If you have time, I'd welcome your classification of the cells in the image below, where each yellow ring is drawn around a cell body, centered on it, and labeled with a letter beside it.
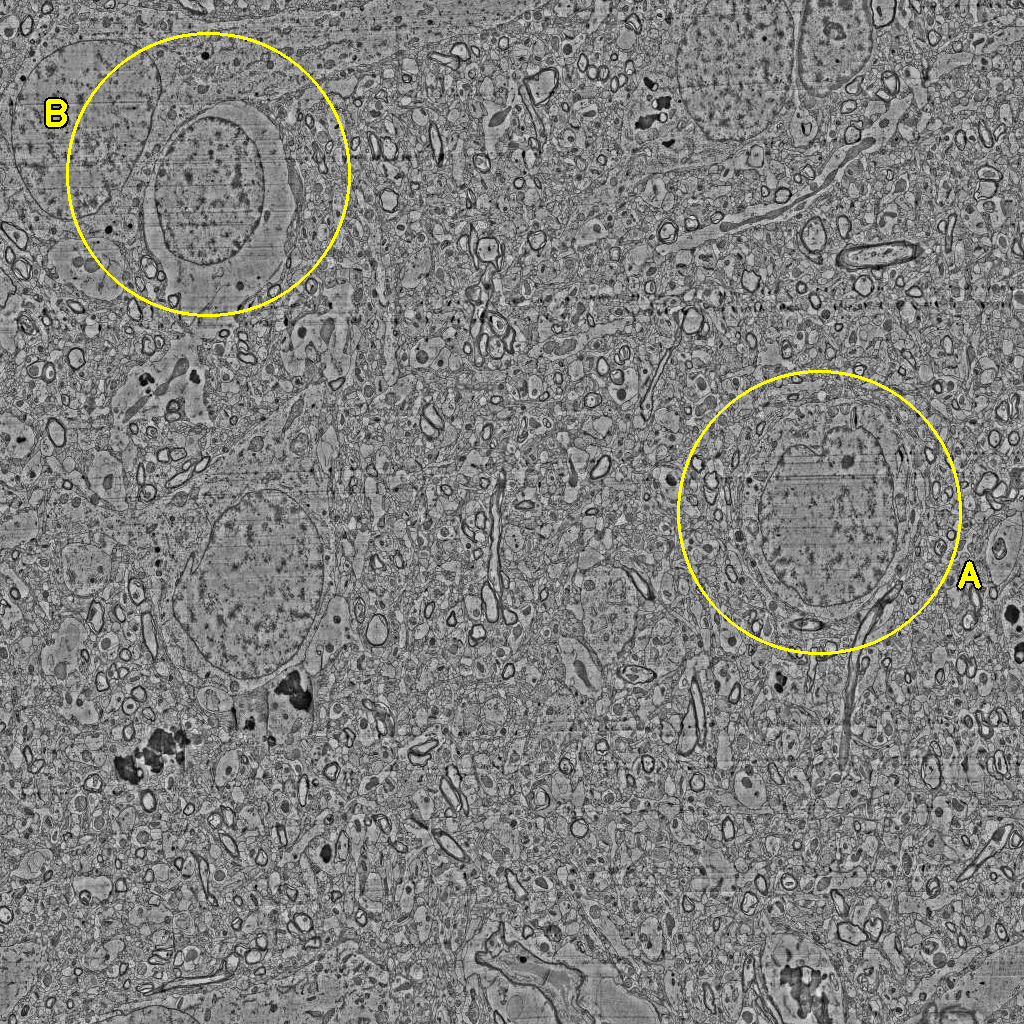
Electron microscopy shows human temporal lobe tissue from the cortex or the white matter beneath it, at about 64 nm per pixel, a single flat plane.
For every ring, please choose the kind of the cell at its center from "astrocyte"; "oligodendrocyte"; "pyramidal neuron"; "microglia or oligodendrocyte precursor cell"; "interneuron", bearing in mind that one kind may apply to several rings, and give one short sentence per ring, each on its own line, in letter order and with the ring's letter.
At the center of ring A is a pyramidal neuron.
At the center of ring B is an astrocyte.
